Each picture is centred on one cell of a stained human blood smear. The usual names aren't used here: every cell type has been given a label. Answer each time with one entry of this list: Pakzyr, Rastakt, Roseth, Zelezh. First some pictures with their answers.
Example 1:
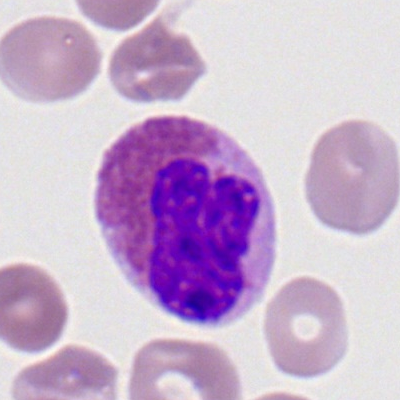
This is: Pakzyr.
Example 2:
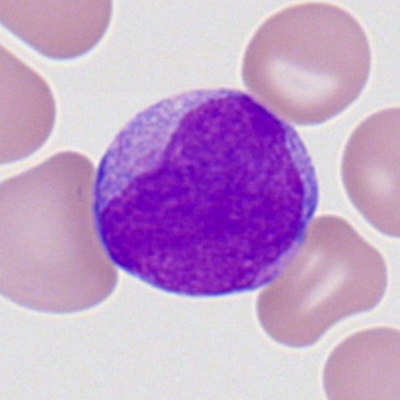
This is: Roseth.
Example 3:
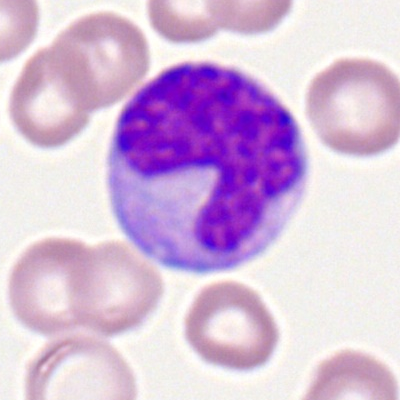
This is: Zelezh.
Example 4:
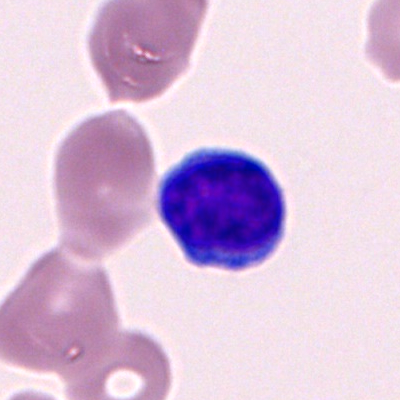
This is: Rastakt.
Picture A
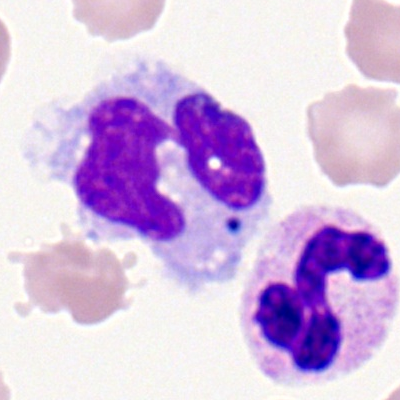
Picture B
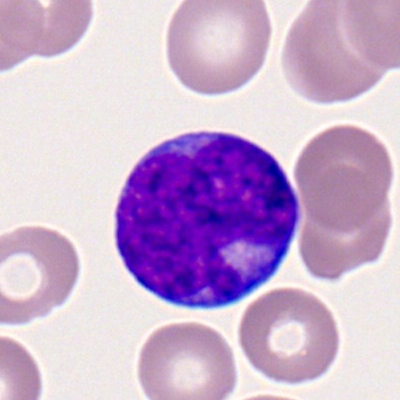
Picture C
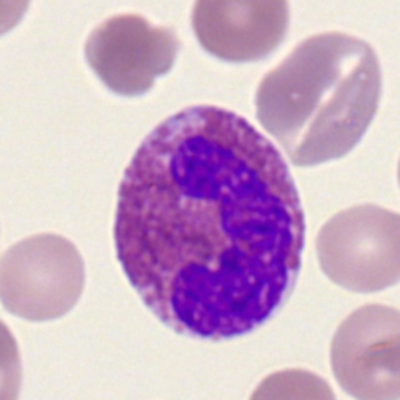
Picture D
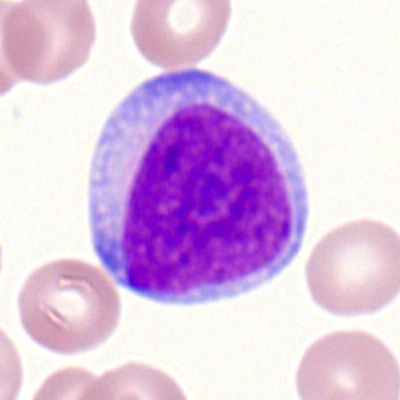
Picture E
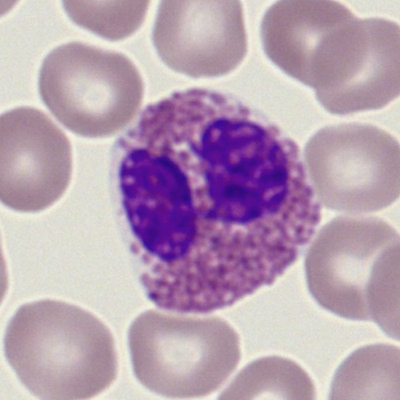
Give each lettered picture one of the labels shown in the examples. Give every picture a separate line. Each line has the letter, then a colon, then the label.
A: Zelezh.
B: Roseth.
C: Pakzyr.
D: Roseth.
E: Pakzyr.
